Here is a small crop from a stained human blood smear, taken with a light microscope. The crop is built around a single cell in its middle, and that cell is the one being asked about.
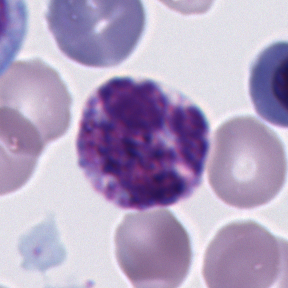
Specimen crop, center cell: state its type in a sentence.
As for the cell in the middle, it is a basophil.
